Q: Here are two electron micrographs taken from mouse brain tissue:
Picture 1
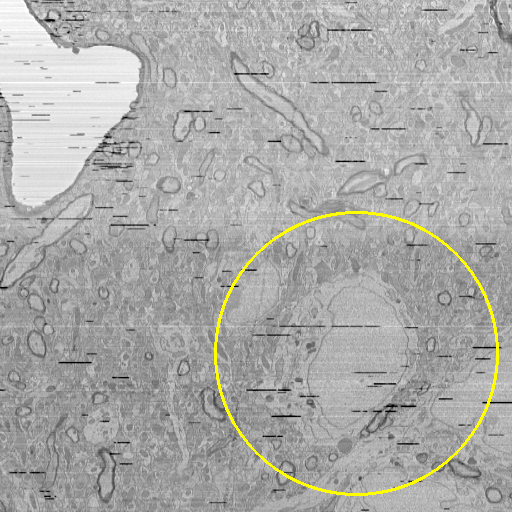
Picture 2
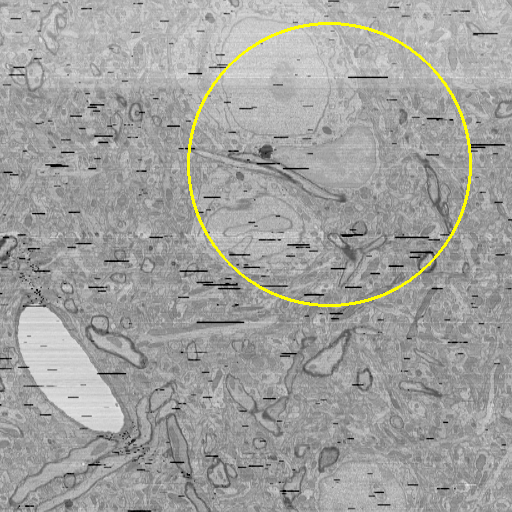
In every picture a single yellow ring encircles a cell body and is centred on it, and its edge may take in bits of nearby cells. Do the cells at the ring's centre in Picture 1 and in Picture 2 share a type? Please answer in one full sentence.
No, the cells at the ring's centre in Picture 1 and Picture 2 are of two types.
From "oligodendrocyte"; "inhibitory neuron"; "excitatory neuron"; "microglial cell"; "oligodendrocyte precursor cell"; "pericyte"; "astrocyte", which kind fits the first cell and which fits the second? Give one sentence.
The cell marked in the first picture is an excitatory neuron, and the one marked in the second is a microglial cell.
